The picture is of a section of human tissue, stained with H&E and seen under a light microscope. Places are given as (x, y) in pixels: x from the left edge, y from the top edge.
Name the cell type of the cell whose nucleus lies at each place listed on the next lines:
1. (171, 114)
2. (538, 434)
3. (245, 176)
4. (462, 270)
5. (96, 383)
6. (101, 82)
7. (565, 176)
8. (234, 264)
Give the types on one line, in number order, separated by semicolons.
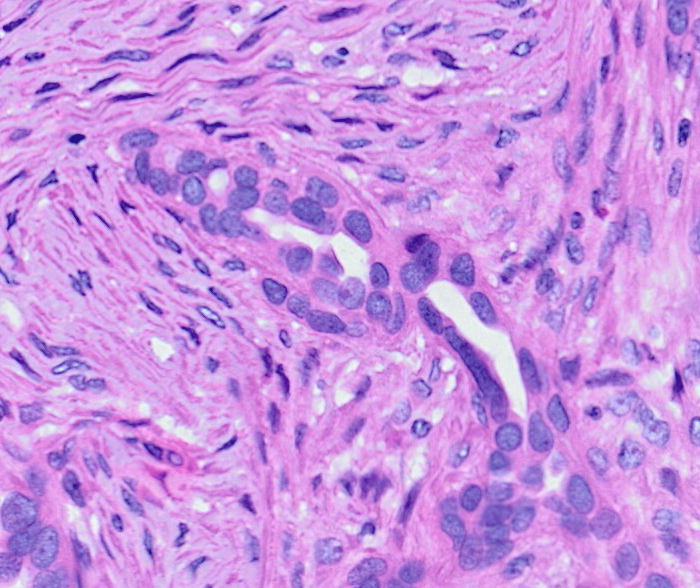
fibroblast; carcinoma cell; carcinoma cell; carcinoma cell; fibroblast; fibroblast; fibroblast; fibroblast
